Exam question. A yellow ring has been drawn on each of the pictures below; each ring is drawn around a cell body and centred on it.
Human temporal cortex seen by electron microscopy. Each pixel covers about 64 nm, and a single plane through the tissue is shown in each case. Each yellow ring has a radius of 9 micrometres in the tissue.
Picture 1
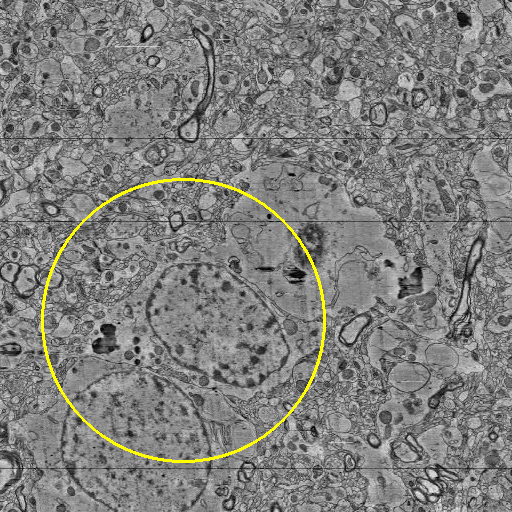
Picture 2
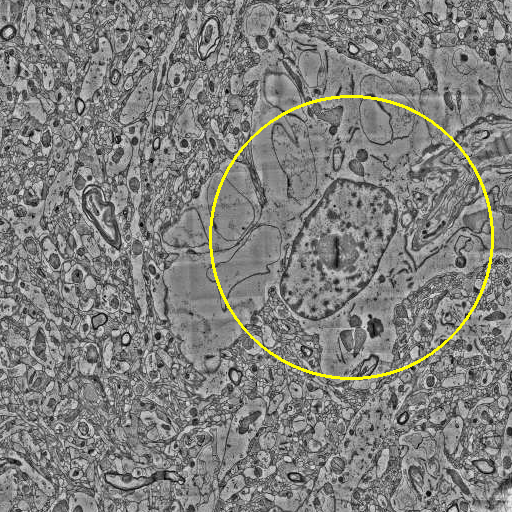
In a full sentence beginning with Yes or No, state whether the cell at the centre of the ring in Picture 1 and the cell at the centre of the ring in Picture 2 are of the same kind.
Yes, the two cells are of the same kind.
